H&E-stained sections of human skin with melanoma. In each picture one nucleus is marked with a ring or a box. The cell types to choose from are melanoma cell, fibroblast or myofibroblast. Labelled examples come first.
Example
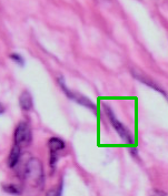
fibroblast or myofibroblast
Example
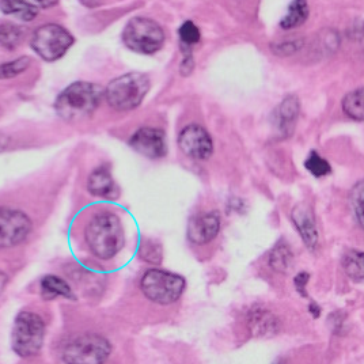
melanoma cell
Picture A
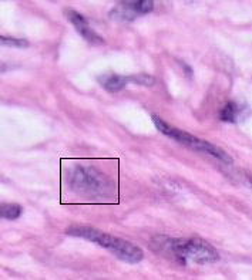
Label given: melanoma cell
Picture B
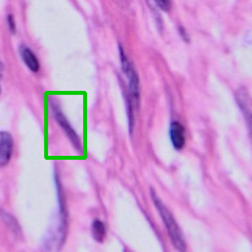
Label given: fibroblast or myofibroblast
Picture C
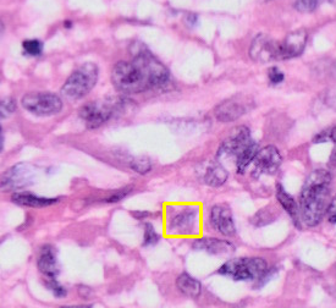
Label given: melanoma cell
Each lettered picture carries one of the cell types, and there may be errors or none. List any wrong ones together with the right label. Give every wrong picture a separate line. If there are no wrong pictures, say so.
A: change melanoma cell to fibroblast or myofibroblast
